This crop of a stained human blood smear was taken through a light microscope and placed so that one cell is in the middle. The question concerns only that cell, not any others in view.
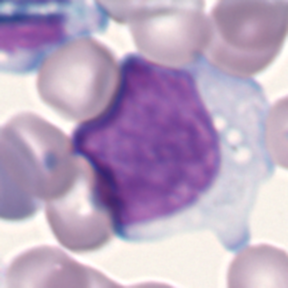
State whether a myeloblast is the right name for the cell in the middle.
yes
